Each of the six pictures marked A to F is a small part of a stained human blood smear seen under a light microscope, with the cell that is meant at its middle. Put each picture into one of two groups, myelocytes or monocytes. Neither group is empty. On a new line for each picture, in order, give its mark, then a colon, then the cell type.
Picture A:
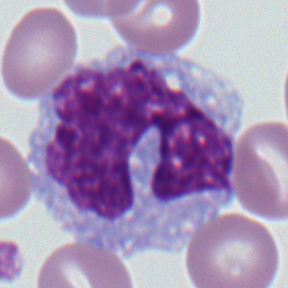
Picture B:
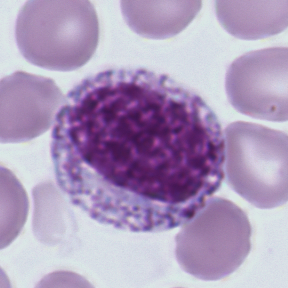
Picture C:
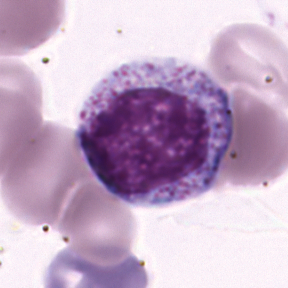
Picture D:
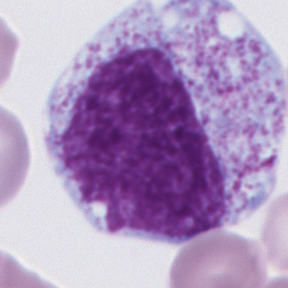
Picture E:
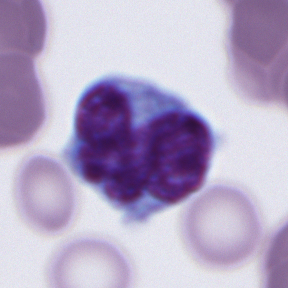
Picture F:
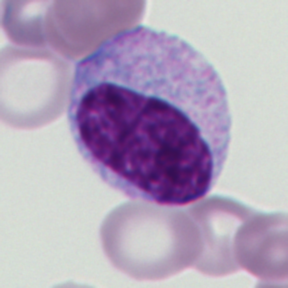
A: monocyte
B: myelocyte
C: myelocyte
D: myelocyte
E: monocyte
F: monocyte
